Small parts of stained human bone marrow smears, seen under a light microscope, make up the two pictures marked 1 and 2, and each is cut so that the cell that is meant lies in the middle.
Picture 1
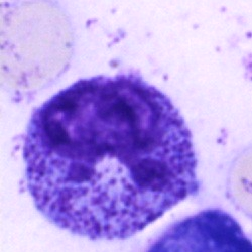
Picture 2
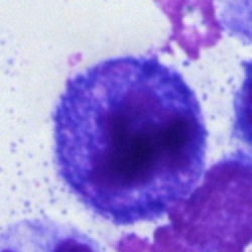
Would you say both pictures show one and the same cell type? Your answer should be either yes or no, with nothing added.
yes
